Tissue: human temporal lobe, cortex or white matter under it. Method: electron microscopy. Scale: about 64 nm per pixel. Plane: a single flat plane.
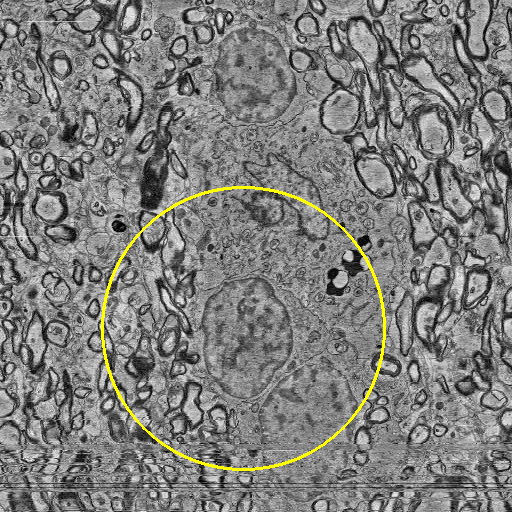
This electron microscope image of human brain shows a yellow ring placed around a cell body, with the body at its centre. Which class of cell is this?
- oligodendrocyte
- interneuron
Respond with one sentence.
The cell body at the ring's centre is an oligodendrocyte.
